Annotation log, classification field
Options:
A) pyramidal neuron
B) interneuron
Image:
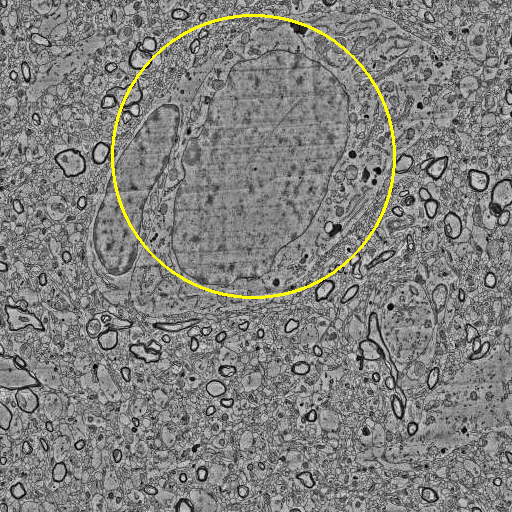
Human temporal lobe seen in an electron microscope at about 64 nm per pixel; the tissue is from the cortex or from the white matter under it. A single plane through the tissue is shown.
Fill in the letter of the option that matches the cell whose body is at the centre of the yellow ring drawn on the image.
B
